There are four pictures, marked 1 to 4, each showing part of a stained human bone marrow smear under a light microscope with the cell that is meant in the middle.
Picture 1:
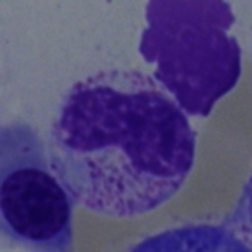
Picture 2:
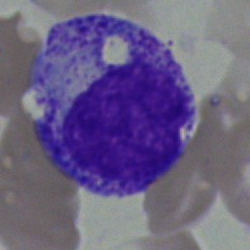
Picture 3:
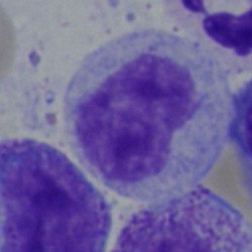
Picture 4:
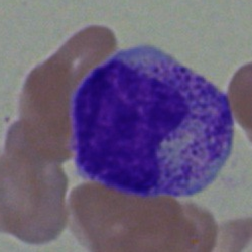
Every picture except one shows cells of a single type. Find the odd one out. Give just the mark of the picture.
1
